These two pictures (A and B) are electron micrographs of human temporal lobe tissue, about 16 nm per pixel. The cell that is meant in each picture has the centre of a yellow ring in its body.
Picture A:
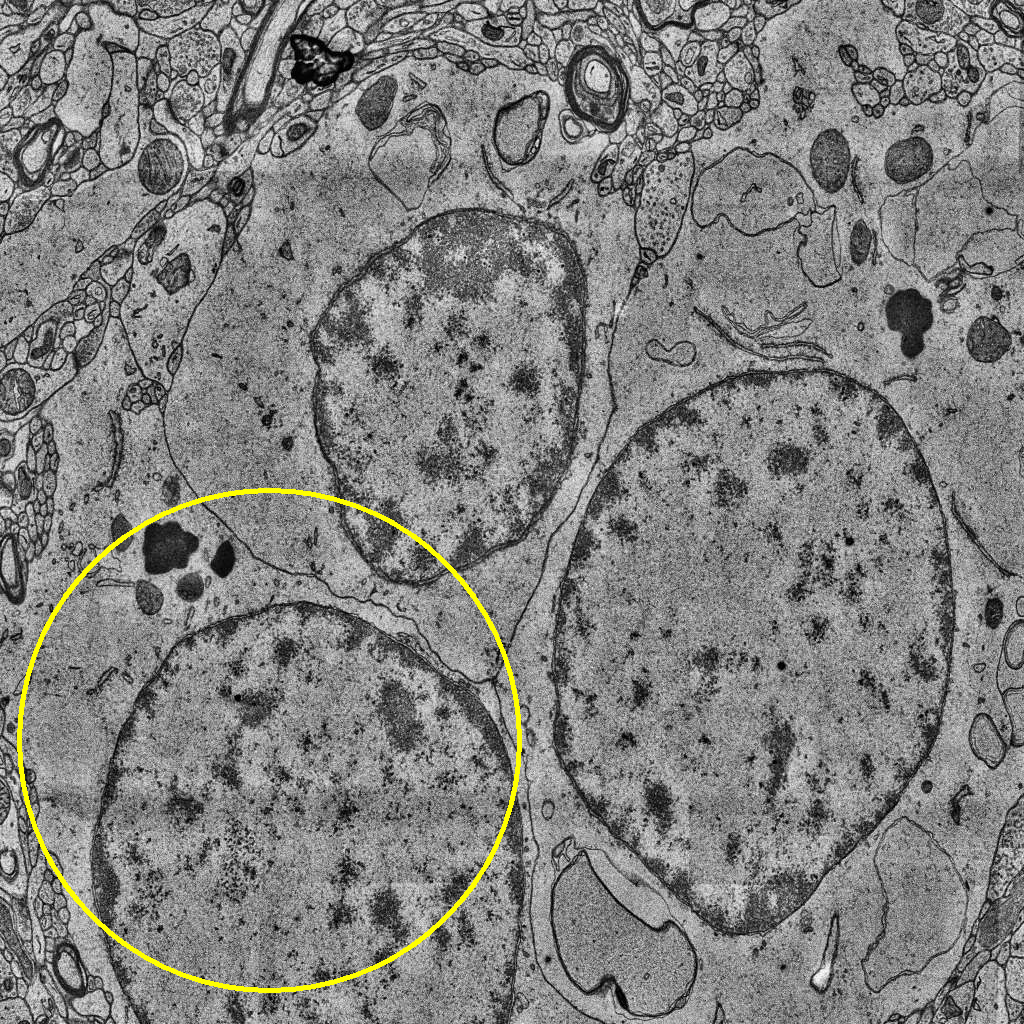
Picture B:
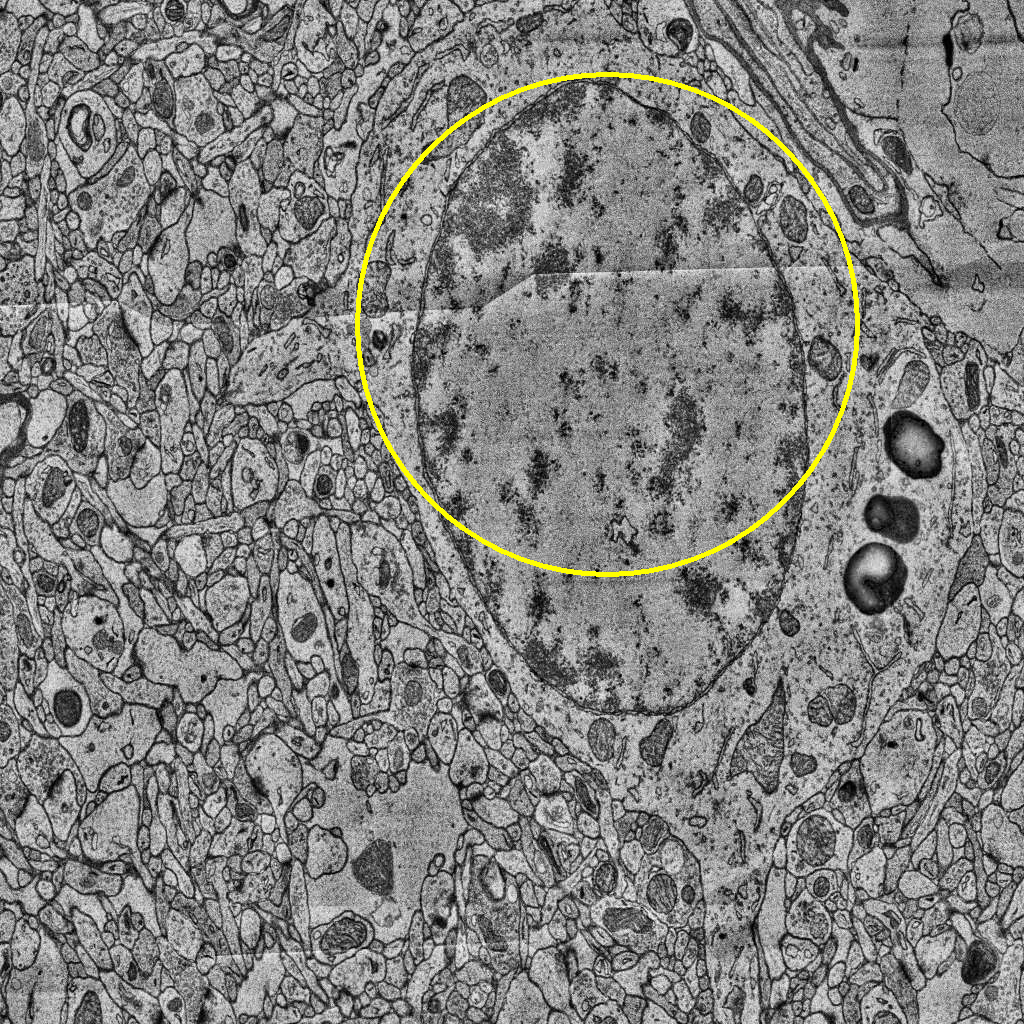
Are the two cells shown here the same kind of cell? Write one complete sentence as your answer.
No; the cell in picture A is an astrocyte, while the one in picture B is a pyramidal neuron.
